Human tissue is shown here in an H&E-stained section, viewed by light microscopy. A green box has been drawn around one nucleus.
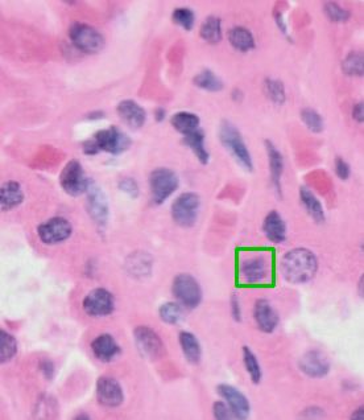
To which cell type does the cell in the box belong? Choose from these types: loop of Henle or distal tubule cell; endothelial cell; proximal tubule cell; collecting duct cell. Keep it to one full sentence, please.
In cellular terms, the cell in the box is a loop of Henle or distal tubule cell.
